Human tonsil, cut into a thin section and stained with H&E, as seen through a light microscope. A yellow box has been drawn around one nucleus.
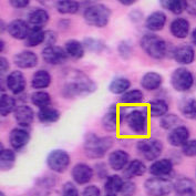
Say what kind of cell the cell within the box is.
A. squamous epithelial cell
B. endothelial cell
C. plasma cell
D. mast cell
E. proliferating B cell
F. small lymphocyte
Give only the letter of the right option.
F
